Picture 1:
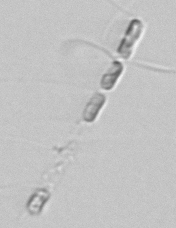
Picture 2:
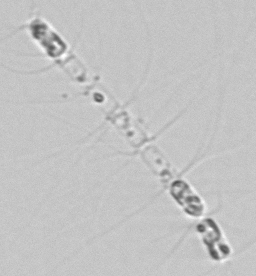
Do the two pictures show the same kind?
Yes, both are Bacteriastrum furcatum.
